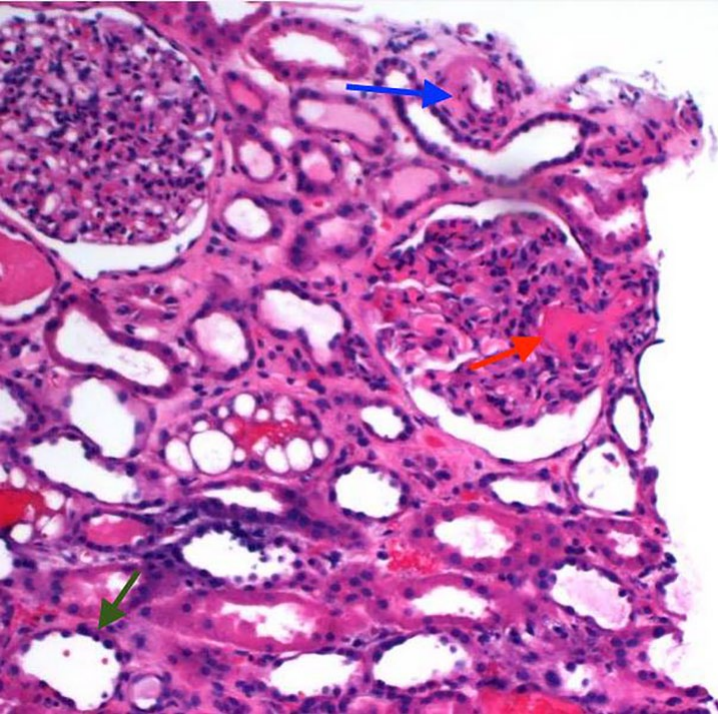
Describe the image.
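This is kidney cortex with two glomeruli and many surrounding tubules, stained pink and purple. The glomeruli are round, cellular tufts of capillary loops with purple nuclei, each surrounded by a clear Bowman's space and a thin capsule. At the edge of one glomerulus, where vessels enter, there is a bright pink, homogeneous, nearly acellular mass lying within a vessel. Nearby a small vessel has a thick cellular wall and a narrow lumen. Many tubules are dilated with wide, empty lumens and are lined by thin, flattened epithelial cells instead of tall cuboidal cells, some containing pale pink material or red blood cells.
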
